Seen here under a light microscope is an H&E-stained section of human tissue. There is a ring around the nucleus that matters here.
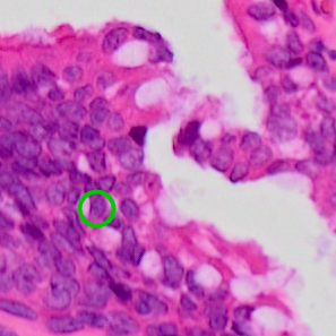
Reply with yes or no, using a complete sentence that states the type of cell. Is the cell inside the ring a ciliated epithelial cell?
Yes, with respect to cell type, the cell inside the ring is a ciliated epithelial cell.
